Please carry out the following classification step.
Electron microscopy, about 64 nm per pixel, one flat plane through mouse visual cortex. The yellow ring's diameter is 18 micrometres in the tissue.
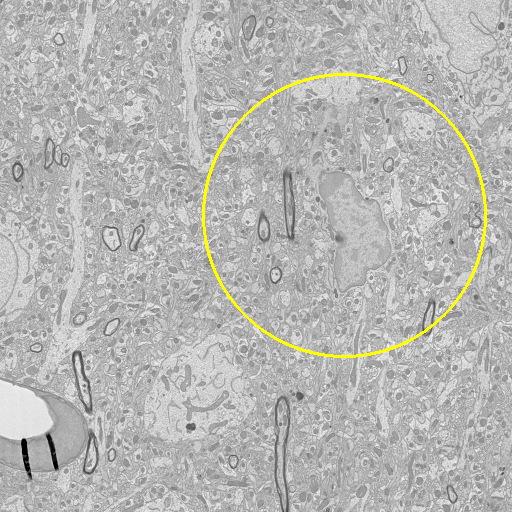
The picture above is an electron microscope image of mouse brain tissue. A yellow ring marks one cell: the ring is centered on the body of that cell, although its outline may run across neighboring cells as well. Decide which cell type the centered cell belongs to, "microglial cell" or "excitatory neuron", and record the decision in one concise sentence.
The cell centered in the yellow ring is a microglial cell.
